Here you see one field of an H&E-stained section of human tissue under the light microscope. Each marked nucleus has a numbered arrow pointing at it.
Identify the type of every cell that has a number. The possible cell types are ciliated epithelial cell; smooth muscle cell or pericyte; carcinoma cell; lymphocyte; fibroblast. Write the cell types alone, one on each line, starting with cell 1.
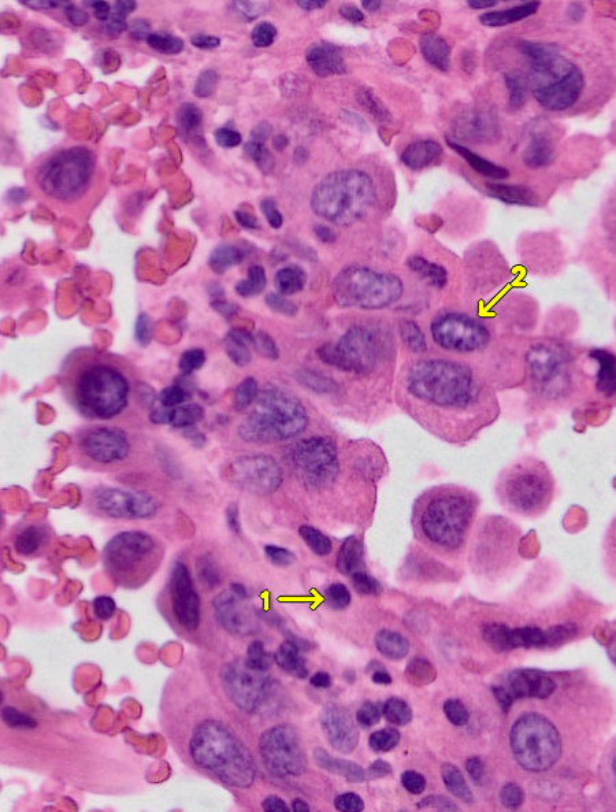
lymphocyte
carcinoma cell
